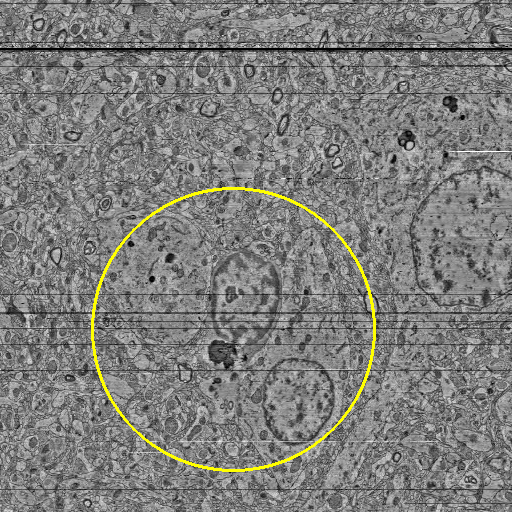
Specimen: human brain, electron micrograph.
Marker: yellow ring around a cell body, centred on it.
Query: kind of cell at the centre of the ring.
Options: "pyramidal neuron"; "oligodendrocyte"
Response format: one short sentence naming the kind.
This cell body belongs to an oligodendrocyte.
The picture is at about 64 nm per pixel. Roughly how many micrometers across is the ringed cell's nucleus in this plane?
In this plane the nucleus is roughly 7 by 4 micrometres, clearly longer than it is wide.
